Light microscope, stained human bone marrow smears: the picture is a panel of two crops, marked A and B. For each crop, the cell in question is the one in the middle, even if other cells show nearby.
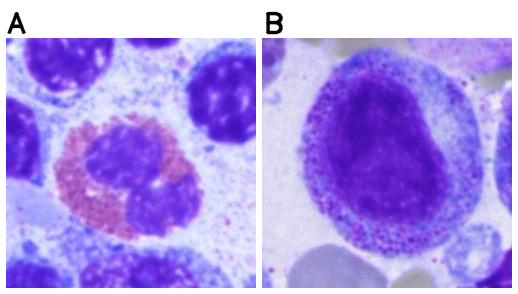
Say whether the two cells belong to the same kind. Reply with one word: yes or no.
no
